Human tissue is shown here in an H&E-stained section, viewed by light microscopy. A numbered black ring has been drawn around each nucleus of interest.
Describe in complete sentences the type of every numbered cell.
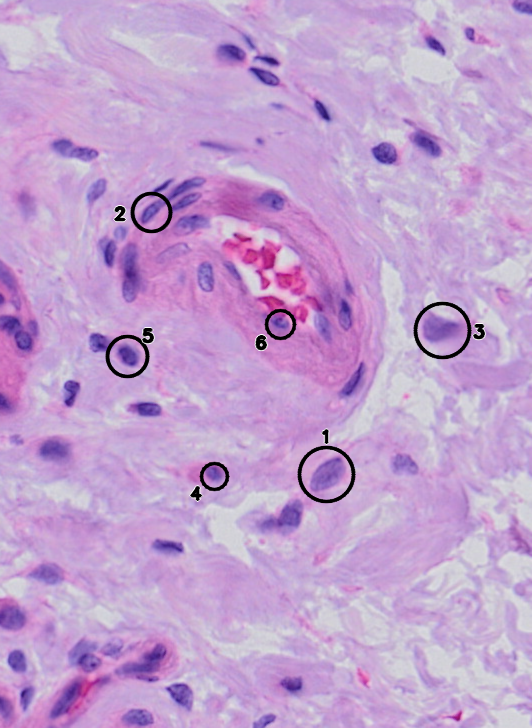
Cell 1 is a fibroblast, cell 2 is a smooth muscle cell, cell 3 is a fibroblast, cell 4 is a smooth muscle cell, cell 5 is a lymphocyte and cell 6 is an endothelial cell.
